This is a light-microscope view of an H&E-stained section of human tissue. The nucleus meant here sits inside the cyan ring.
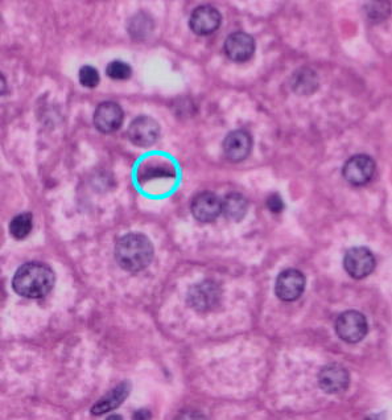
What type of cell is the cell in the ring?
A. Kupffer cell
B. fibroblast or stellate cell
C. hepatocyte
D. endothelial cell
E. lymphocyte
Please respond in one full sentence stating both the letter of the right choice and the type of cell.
Option D, which has the cell in the ring as an endothelial cell, is the correct choice.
